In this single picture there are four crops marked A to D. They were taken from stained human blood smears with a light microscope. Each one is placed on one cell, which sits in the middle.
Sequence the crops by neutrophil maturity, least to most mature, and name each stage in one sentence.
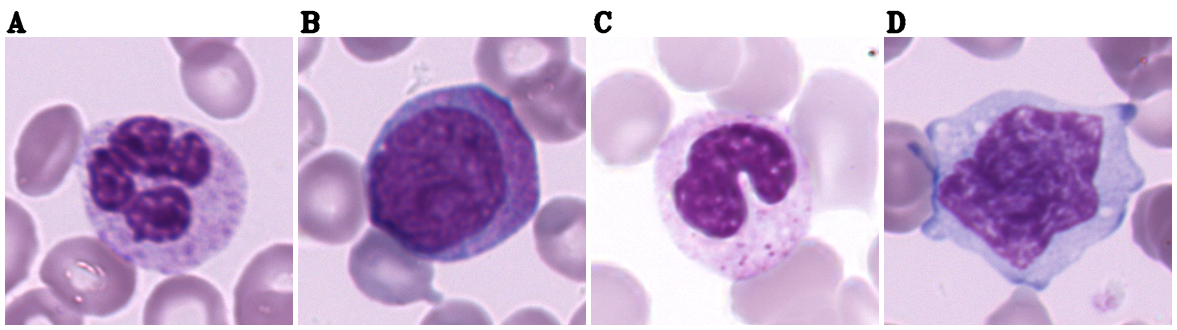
Placed in order of rising maturity, the crops stand as crop D (a myeloblast), crop B (a promyelocyte), crop C (a band neutrophil) and crop A (a segmented neutrophil).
